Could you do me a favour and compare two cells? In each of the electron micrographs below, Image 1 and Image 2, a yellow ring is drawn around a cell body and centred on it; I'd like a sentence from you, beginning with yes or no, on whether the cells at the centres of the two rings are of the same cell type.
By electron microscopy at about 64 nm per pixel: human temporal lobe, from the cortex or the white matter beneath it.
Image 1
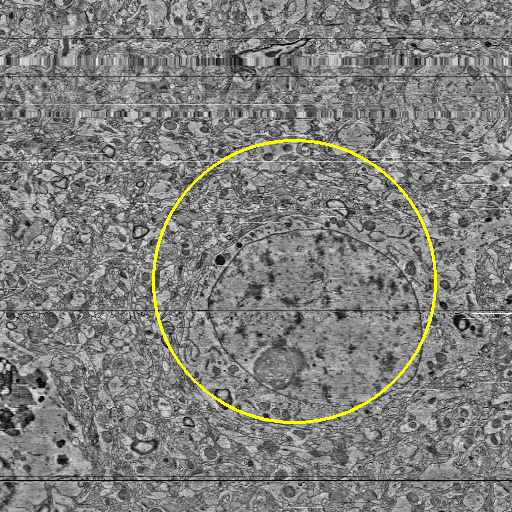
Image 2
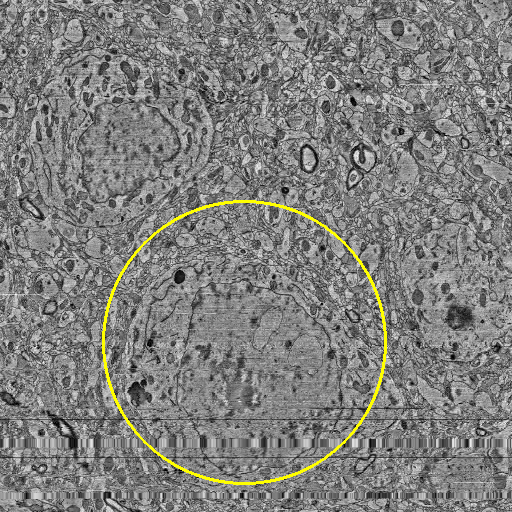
Yes, the two cells are of the same cell type.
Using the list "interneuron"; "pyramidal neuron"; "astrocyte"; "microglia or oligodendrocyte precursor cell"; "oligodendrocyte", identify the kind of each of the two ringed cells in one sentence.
Both pictures show a pyramidal neuron at the centre of the ring.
